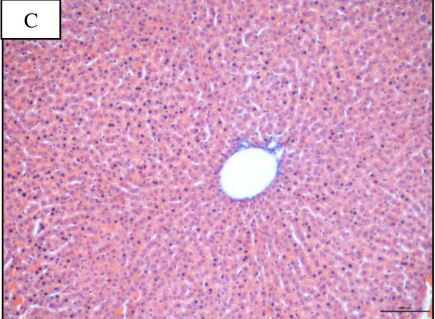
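This is liver tissue, made of hepatocytes arranged in plates around a central vein. The vein is a round, empty space in the middle with a thin lining. From it the plates of hepatocytes run outward like spokes of a wheel, separated by narrow pale channels, the sinusoids. Each hepatocyte has pink cytoplasm and a round, dark-purple nucleus near its centre.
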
